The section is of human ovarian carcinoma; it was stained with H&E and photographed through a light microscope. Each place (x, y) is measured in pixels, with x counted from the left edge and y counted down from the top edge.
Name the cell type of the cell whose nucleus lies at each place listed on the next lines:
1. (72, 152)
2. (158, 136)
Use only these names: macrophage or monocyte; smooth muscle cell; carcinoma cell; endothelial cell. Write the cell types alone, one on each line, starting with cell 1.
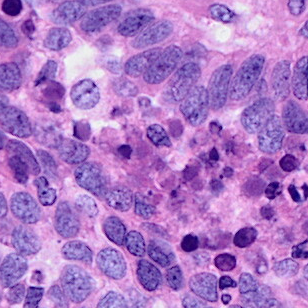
carcinoma cell
macrophage or monocyte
